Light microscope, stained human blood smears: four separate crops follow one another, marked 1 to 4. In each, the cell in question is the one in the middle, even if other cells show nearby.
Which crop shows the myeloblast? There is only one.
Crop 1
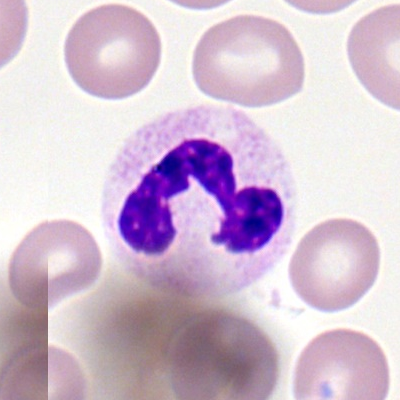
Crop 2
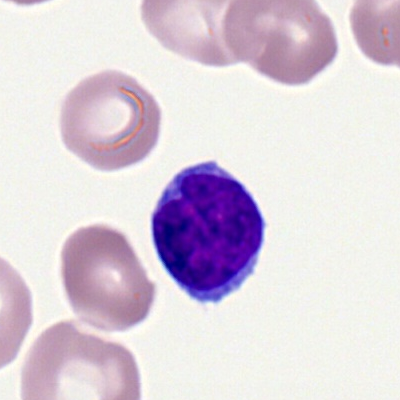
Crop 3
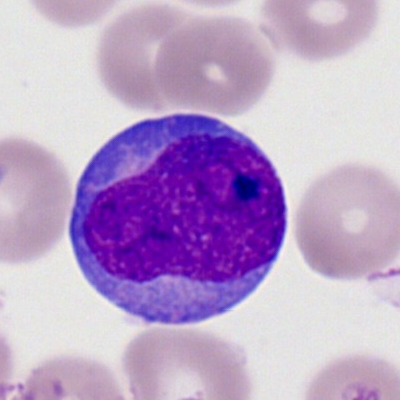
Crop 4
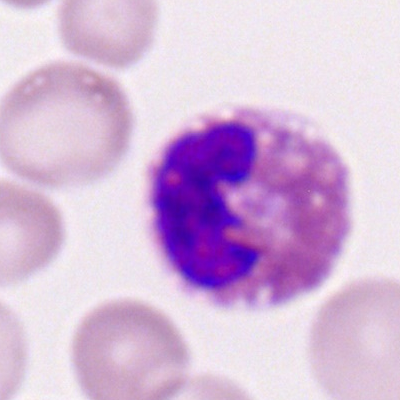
3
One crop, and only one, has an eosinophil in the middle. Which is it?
4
